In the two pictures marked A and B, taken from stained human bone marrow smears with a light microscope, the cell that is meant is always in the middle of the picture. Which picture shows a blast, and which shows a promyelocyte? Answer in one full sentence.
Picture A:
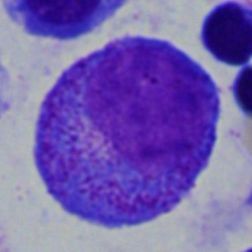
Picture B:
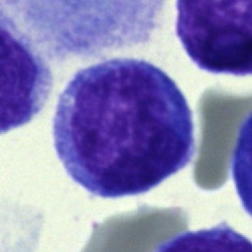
Picture A is of a promyelocyte, and picture B is of a blast.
